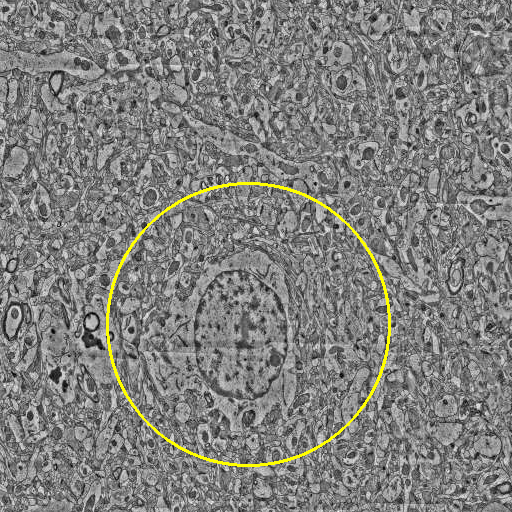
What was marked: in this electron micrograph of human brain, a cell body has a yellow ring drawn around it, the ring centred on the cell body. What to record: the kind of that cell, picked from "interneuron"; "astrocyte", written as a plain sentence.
The centred cell is an astrocyte.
